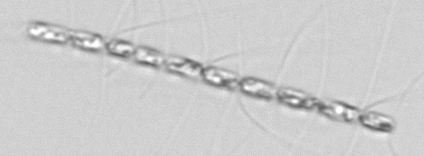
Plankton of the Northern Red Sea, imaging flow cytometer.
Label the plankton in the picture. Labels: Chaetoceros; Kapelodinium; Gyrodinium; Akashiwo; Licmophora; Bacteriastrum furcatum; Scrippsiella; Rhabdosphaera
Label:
Chaetoceros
